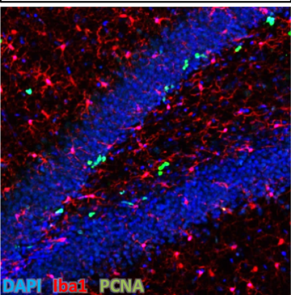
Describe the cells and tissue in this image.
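This is a section of the hippocampus in which many small, branched microglia are stained red across the field. A dense band of tightly packed blue nuclei runs diagonally through the image, bent into a broad angled shape, while the neighbouring tissue holds fewer, more scattered nuclei. Small bright green nuclei lie scattered mainly along the edges of the dense blue band.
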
